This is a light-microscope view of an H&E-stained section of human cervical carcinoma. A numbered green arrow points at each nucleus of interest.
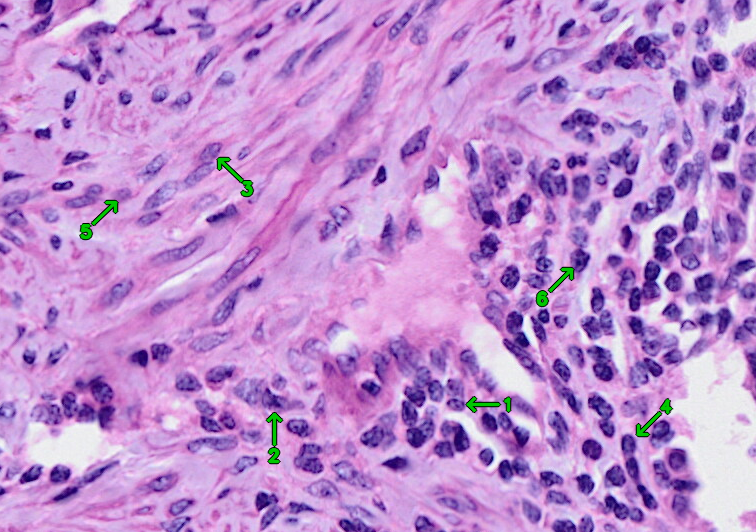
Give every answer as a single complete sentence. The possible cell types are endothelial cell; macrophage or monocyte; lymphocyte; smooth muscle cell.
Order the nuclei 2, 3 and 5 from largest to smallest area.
Largest first, the order by area is 2, 3, 5.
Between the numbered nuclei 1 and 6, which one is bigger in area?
Nucleus 6 is the larger one, covering about 2 times the area of nucleus 1.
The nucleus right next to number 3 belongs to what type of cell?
It is a smooth muscle cell whose nucleus is nearest to number 3.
